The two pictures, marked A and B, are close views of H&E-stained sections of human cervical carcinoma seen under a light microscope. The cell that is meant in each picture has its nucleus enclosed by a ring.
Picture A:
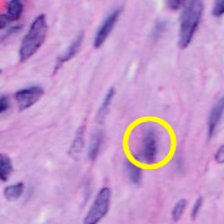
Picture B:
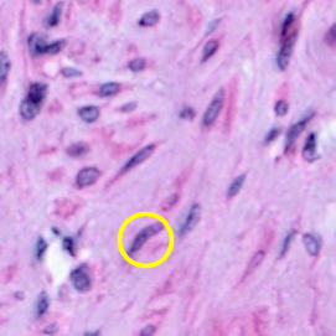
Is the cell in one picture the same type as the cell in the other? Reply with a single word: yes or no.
no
